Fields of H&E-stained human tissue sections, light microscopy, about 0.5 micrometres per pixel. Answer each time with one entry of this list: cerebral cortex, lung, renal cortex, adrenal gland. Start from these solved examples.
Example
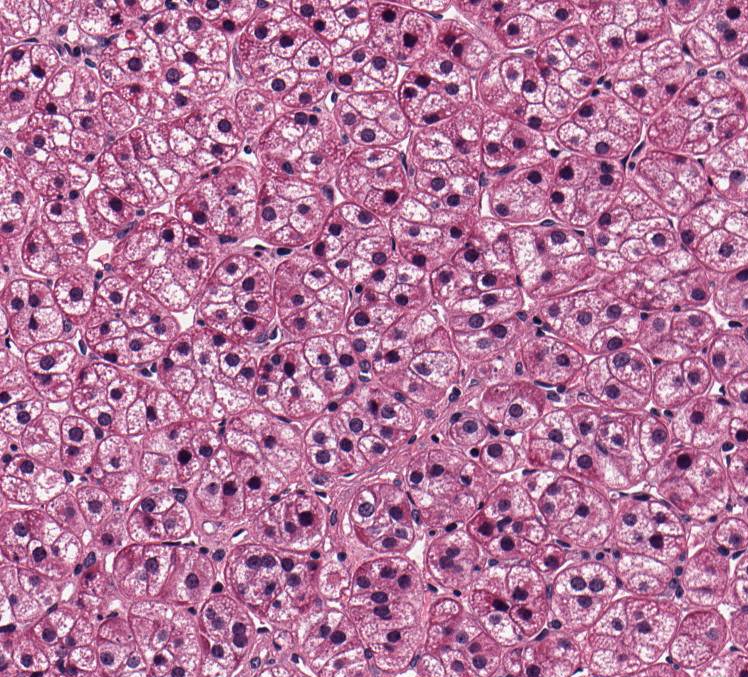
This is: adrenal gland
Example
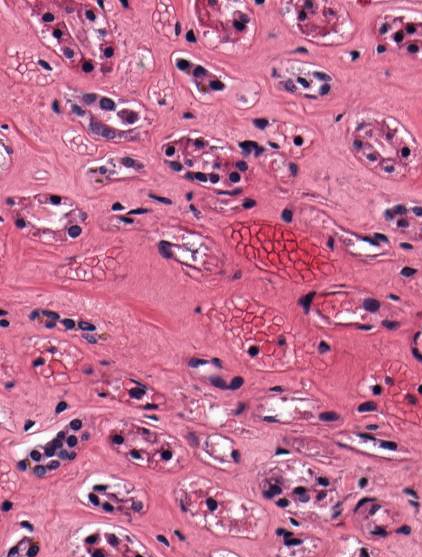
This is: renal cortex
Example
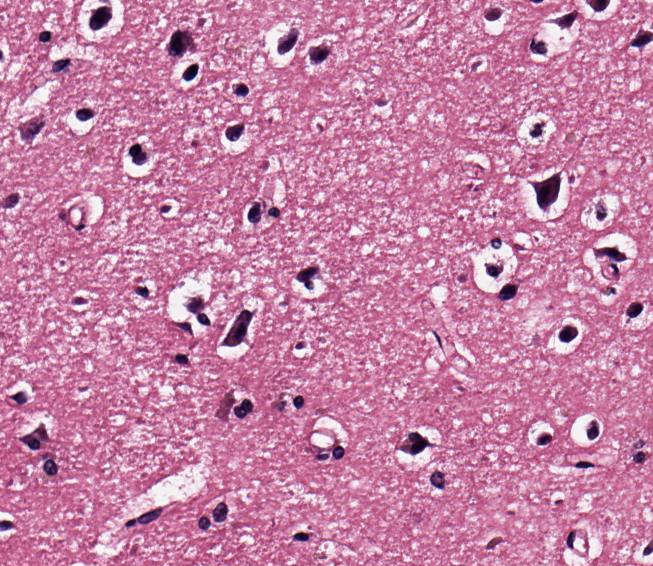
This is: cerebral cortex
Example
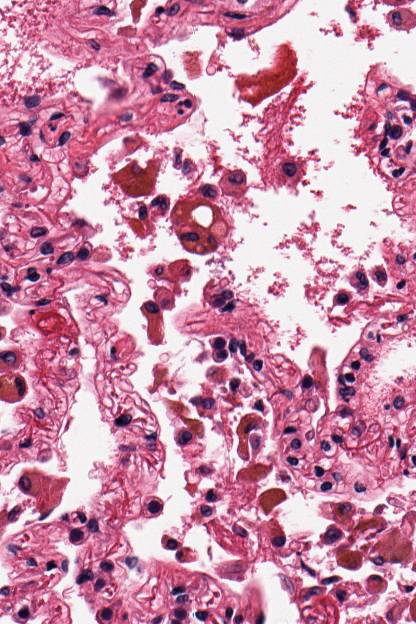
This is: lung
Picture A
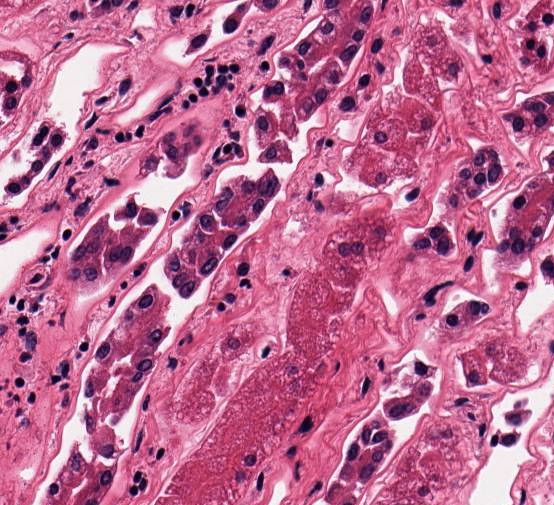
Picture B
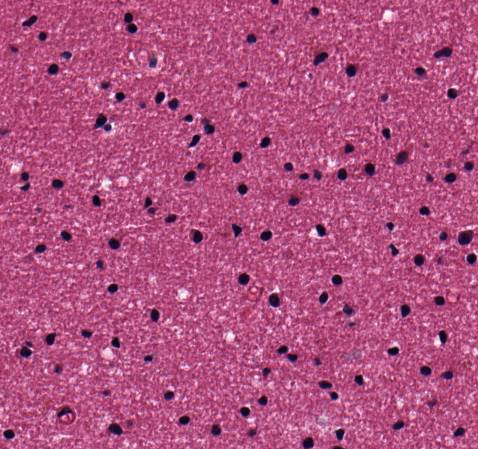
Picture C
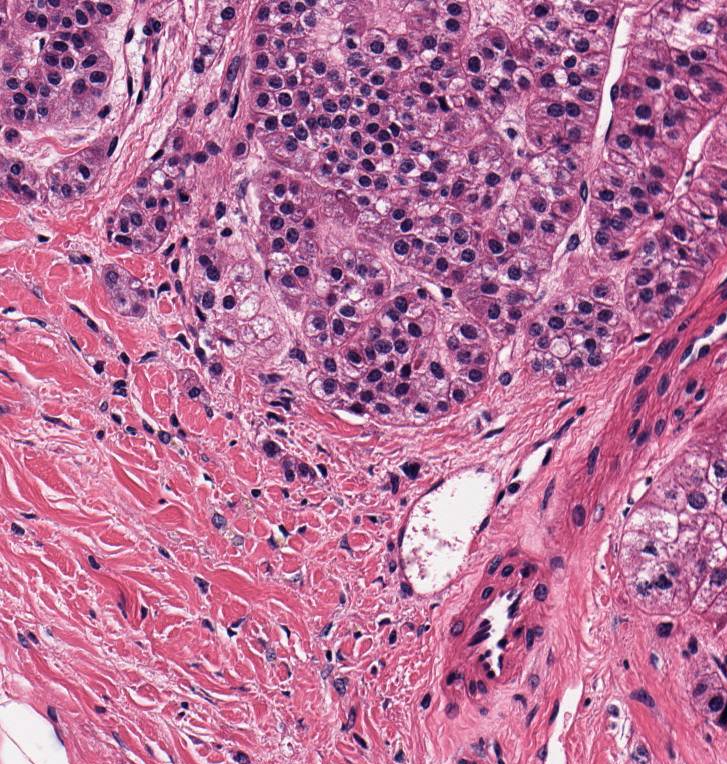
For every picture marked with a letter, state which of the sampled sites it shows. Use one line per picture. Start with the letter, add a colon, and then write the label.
A: renal cortex
B: cerebral cortex
C: adrenal gland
